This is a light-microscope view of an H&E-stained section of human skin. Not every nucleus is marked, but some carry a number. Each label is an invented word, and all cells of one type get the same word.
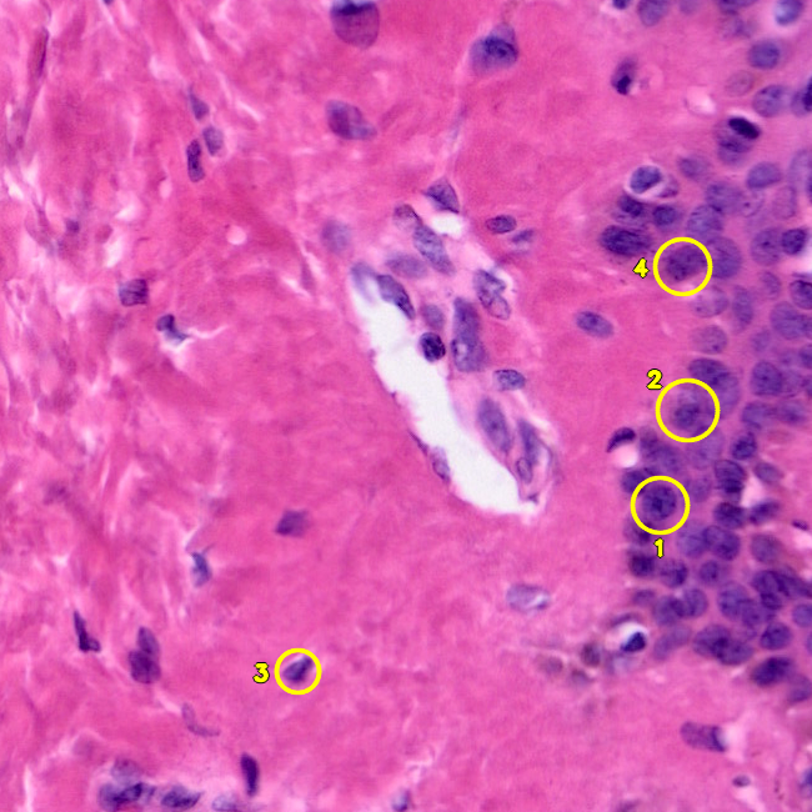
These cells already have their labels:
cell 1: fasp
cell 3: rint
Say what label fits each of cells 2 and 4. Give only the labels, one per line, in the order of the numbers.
fasp
fasp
